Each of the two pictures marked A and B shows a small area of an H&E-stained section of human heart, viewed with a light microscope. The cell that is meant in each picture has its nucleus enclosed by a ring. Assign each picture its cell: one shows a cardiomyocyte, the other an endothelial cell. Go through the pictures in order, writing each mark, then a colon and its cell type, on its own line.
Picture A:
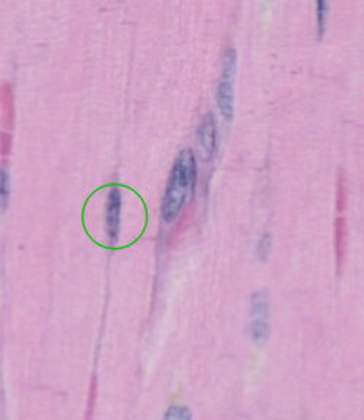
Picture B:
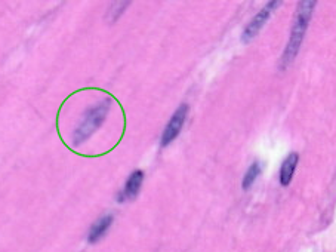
A: endothelial cell
B: cardiomyocyte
